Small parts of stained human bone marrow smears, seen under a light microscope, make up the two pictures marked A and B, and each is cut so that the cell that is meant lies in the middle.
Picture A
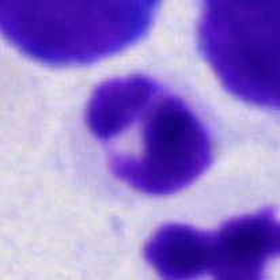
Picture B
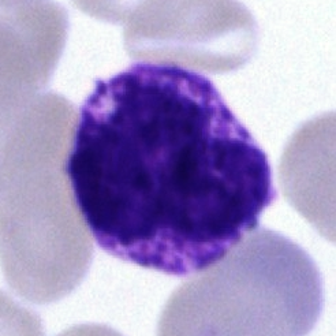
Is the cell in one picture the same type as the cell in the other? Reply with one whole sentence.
No, the types are not the same, since picture A shows a segmented neutrophil and picture B a basophil.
